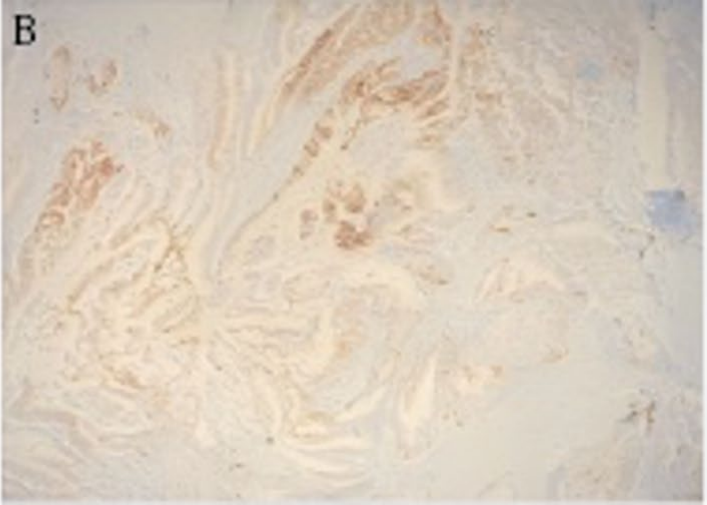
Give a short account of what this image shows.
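Irregular, elongated strands and small clusters of tissue take a brownish-yellow stain. The stain is strongest in a few compact clusters near the top and middle of the field, and paler across the wavy strands below. Between these stained structures lies pale, largely unstained tissue. At this magnification the outlines of single cells cannot be made out.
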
